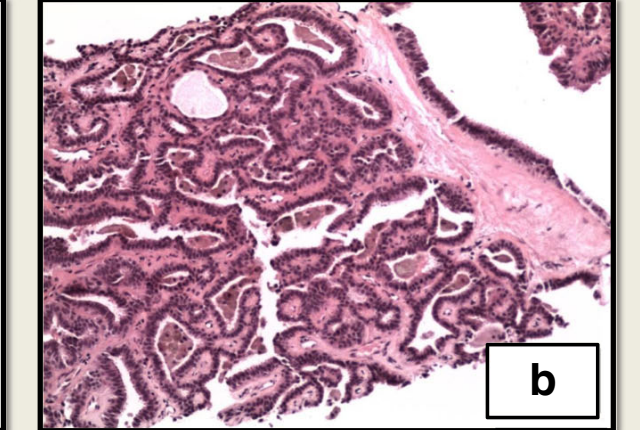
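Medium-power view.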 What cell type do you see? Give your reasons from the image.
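Bland columnar cell lining. The fronds are lined by tall cells with elongated nuclei. The nuclei are fairly uniform, without marked atypia.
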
